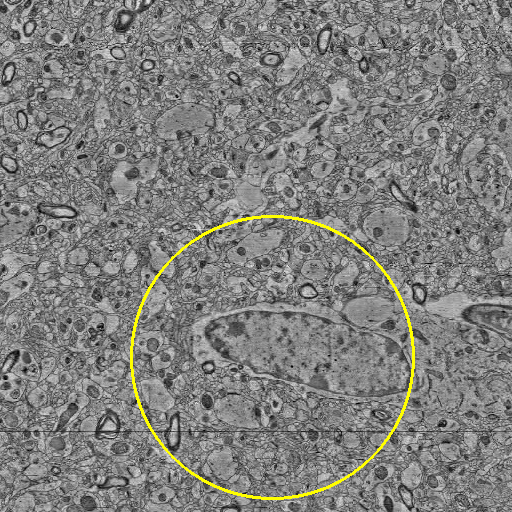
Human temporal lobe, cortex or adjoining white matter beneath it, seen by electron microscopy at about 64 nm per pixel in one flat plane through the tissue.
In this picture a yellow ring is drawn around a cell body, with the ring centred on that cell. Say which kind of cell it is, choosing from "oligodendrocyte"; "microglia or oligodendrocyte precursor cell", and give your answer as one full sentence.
Here it is a microglial cell or oligodendrocyte precursor cell that sits at the centre of the drawn yellow ring.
